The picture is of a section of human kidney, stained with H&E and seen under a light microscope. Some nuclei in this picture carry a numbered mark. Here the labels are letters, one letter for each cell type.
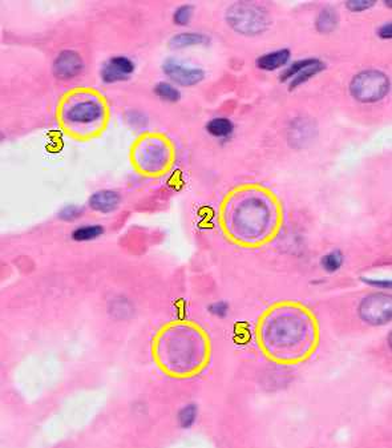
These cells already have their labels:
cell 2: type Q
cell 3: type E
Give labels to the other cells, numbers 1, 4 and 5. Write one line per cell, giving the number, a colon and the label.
1: type Q
4: type E
5: type Q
